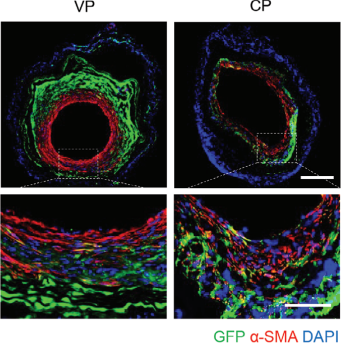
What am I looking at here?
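These are cross-sections of a hollow tubular structure whose wall is built of several cell layers around a central empty lumen. In the left overview a continuous red band of cells encircles the lumen, and outside it lies a thick, wavy green layer, while blue nuclei are scattered through the outer tissue. In the right section the wall is more irregular and thinner, with red and green cells intermingled rather than forming clean concentric layers.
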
